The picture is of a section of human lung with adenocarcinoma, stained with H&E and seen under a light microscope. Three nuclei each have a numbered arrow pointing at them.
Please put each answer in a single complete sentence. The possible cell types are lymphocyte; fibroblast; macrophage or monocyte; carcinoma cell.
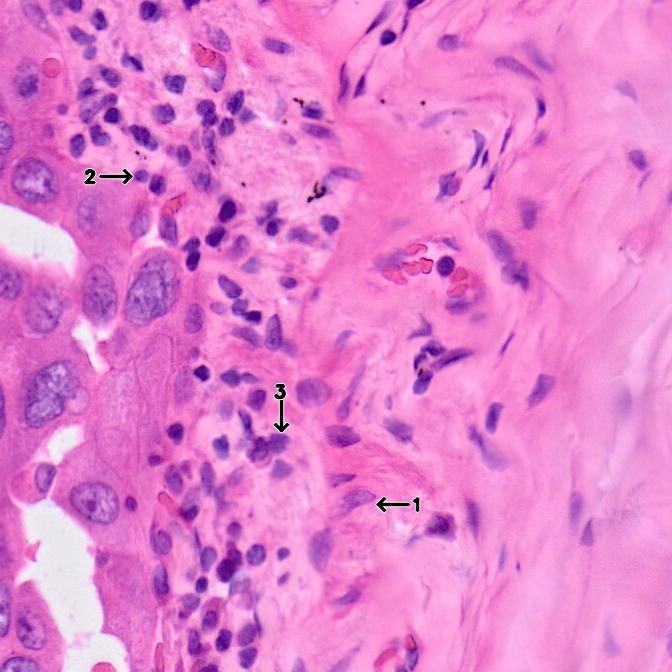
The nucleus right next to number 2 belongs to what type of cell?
It is a lymphocyte whose nucleus is nearest to number 2.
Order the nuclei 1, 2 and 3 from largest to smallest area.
By area, largest first, they run 1, 3, 2.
